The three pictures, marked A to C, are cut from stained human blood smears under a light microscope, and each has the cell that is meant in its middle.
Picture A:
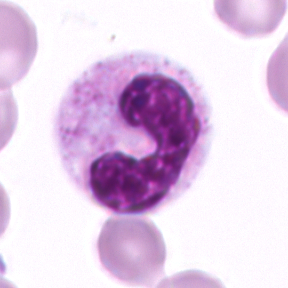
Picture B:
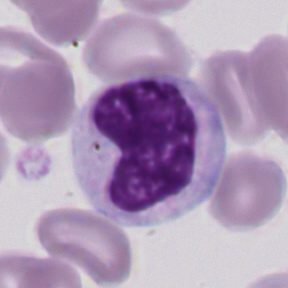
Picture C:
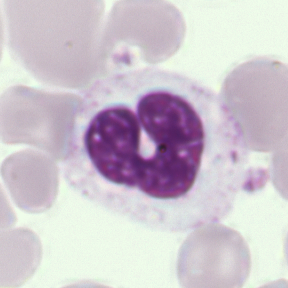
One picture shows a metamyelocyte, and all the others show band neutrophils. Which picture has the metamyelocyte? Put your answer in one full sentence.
Picture B is the one that shows the metamyelocyte.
